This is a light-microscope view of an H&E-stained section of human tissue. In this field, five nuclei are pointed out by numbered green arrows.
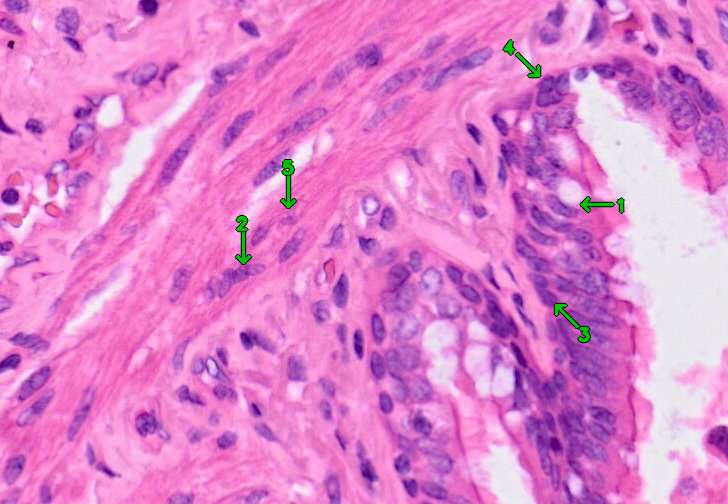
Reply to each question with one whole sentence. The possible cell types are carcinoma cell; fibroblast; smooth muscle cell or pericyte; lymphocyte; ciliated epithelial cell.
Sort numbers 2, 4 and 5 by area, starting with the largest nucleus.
The nuclei rank 2, 4, 5, from largest to smallest.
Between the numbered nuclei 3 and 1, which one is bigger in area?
Nucleus 1 covers more area, about 1.5 times as much as nucleus 3.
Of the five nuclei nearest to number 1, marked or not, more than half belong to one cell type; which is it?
Of the five nuclei nearest to number 1, most belong to ciliated epithelial cells.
